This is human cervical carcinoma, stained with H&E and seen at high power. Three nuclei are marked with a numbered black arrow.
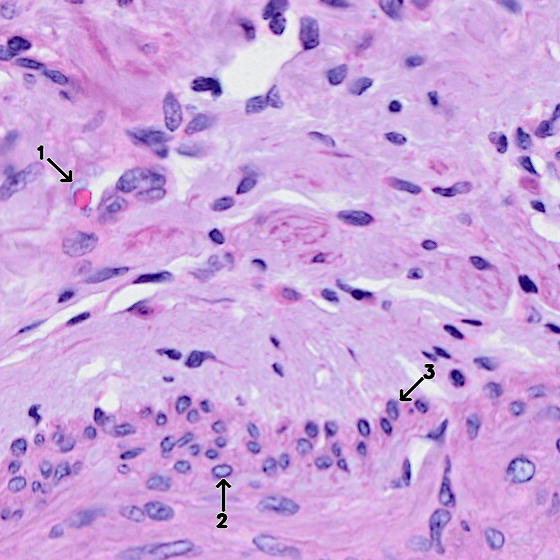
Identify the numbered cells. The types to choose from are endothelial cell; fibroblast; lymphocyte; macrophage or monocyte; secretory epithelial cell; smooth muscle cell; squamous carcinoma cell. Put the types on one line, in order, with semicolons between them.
endothelial cell; smooth muscle cell; smooth muscle cell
